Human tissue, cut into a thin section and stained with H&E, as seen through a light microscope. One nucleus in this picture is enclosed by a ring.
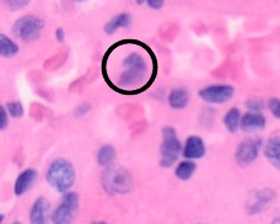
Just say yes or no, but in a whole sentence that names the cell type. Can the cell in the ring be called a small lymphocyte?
No, the cell in the ring is not a small lymphocyte; the correct answer is an endothelial cell.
